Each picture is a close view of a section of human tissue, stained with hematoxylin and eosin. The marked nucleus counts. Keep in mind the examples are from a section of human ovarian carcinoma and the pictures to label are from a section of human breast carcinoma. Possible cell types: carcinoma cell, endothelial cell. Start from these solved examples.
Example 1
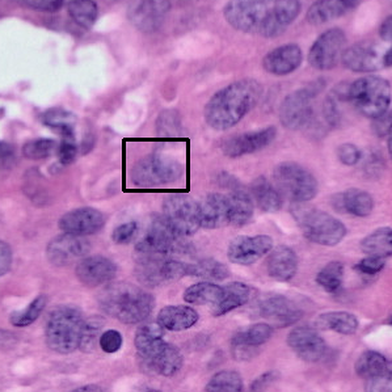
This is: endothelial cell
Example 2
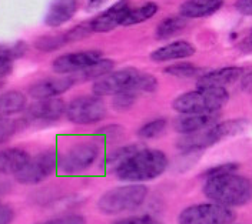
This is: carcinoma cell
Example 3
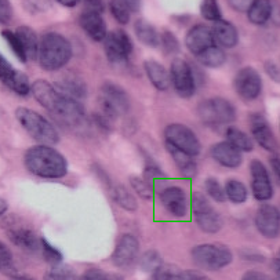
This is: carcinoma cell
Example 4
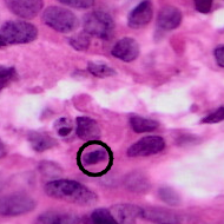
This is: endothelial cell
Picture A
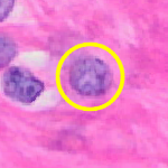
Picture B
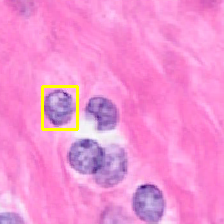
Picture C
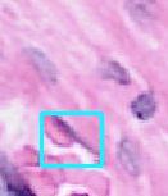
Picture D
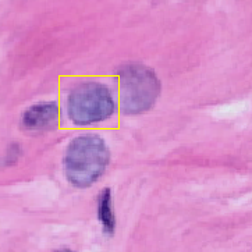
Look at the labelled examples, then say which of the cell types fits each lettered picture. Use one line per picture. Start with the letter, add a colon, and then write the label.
A: carcinoma cell
B: carcinoma cell
C: endothelial cell
D: carcinoma cell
